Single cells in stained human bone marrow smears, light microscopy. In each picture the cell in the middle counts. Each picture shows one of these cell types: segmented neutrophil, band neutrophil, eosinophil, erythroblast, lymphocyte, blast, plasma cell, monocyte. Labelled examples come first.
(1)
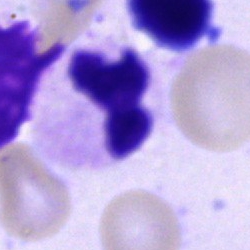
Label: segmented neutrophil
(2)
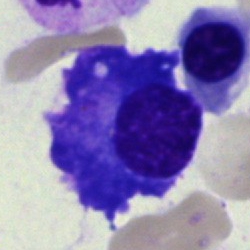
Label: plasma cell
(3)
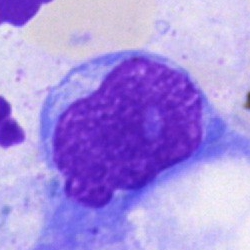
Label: blast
